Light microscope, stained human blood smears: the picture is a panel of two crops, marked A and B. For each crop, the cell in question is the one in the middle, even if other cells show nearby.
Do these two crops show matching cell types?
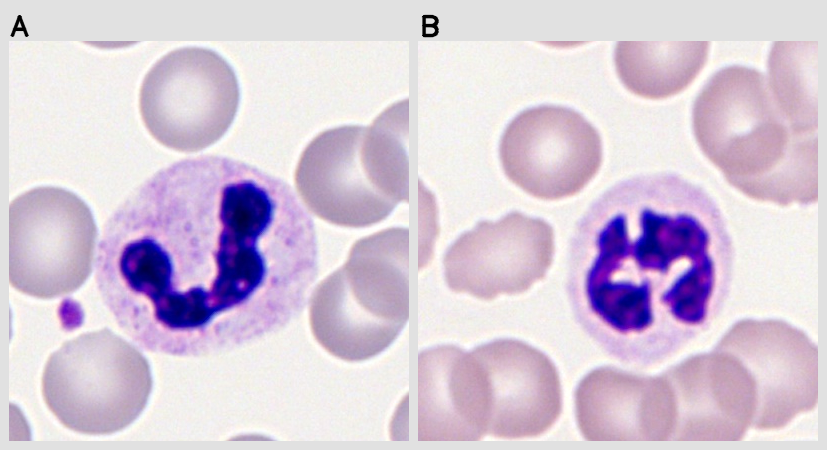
yes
